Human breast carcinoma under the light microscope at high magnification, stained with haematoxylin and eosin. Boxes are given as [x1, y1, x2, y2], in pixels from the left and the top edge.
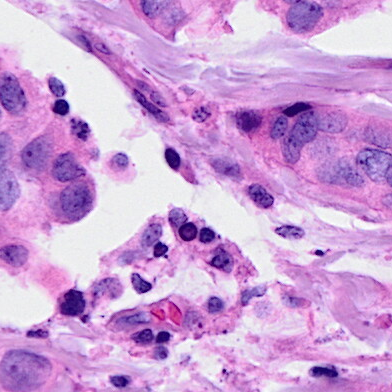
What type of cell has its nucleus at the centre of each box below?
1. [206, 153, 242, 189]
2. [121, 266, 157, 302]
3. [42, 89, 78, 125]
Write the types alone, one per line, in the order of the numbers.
fibroblast
lymphocyte
lymphocyte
